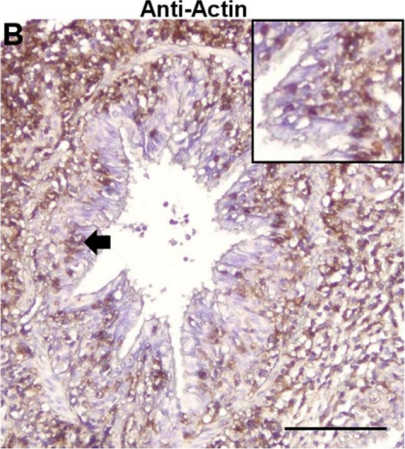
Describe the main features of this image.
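This is an airway cut across, its lining thrown into folds around a star-shaped lumen. The lining is a tall columnar epithelium whose elongated nuclei stand side by side, mostly stained blue. Outside it the tissue is crowded with cells, and here brown stain is dense and widespread, marking many small round cells packed into the wall. Within the epithelium itself some small round dark cells sit among the columnar cells, unlike them in shape and size: leukocytes that have crossed into the lining. A few loose cells lie free in the lumen.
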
